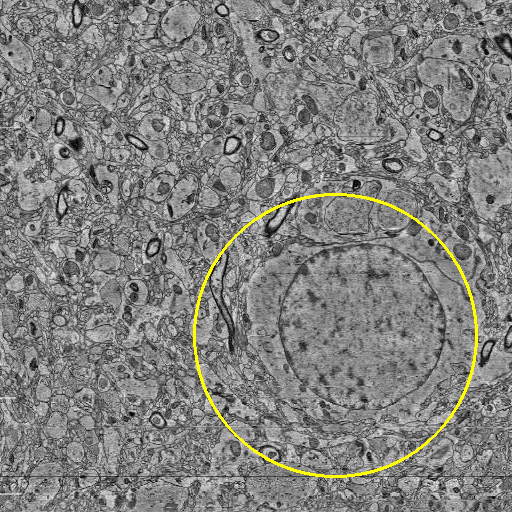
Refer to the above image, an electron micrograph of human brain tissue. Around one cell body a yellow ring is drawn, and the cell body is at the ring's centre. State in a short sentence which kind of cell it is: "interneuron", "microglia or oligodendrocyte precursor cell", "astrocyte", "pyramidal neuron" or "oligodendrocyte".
The centre of the ring falls on an astrocyte.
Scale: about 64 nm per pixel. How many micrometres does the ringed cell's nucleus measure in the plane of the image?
In this plane, the nucleus of the cell at the centre of the ring is about 11 micrometres across.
